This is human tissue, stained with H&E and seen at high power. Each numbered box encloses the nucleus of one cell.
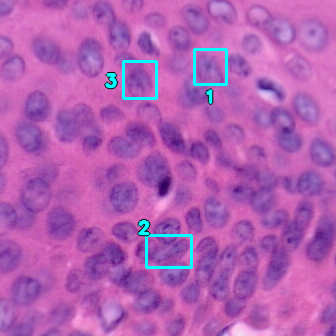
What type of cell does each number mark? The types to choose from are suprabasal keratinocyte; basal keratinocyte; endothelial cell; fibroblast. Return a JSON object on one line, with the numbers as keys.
{"1": "suprabasal keratinocyte", "2": "basal keratinocyte", "3": "suprabasal keratinocyte"}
